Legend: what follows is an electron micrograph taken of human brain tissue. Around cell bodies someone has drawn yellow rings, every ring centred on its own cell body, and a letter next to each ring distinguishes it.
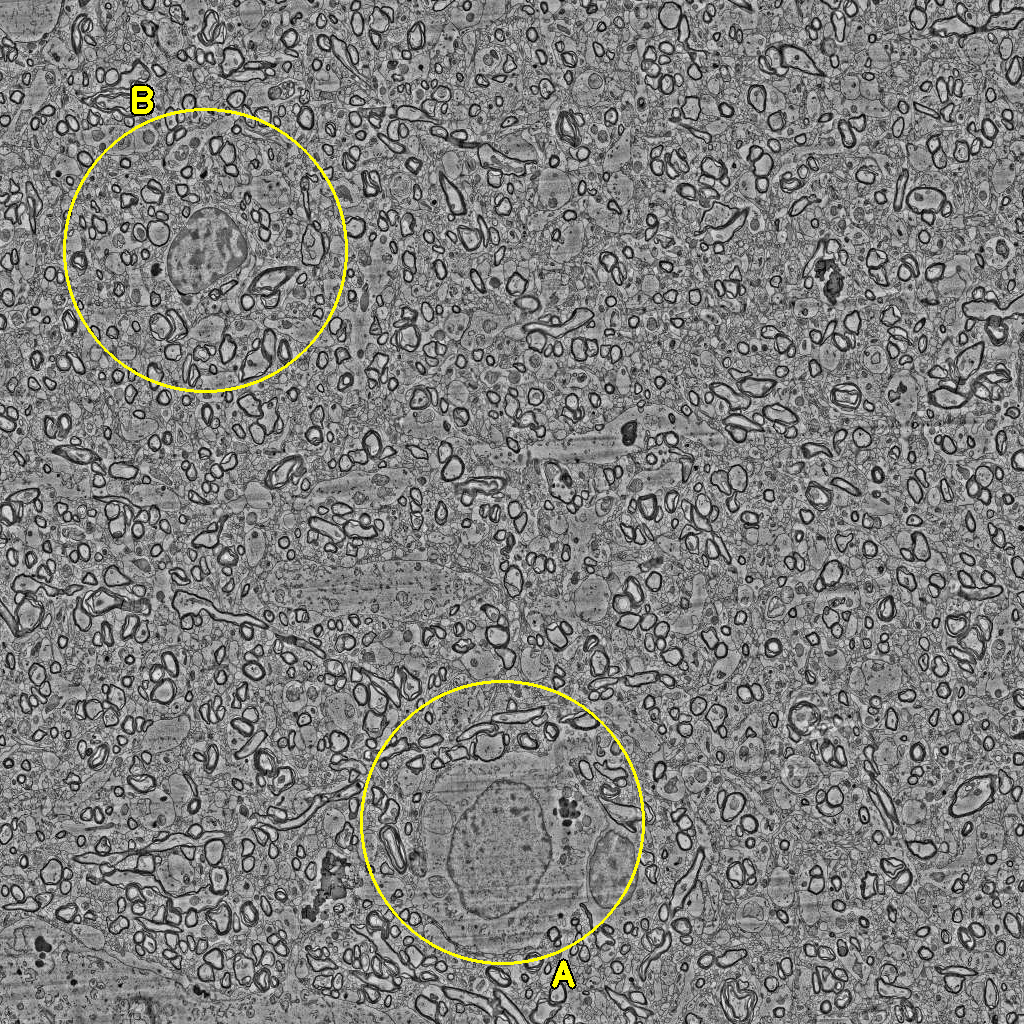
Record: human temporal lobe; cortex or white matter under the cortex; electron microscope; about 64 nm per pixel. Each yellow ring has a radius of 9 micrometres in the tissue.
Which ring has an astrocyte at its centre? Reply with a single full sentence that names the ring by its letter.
Ring A is the one centred on the cell asked for in the picture.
